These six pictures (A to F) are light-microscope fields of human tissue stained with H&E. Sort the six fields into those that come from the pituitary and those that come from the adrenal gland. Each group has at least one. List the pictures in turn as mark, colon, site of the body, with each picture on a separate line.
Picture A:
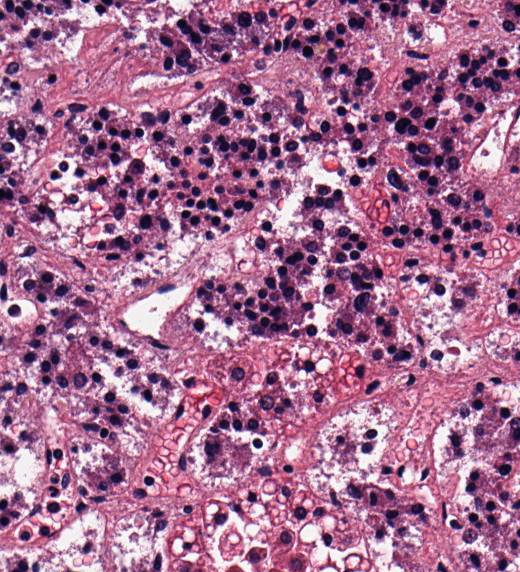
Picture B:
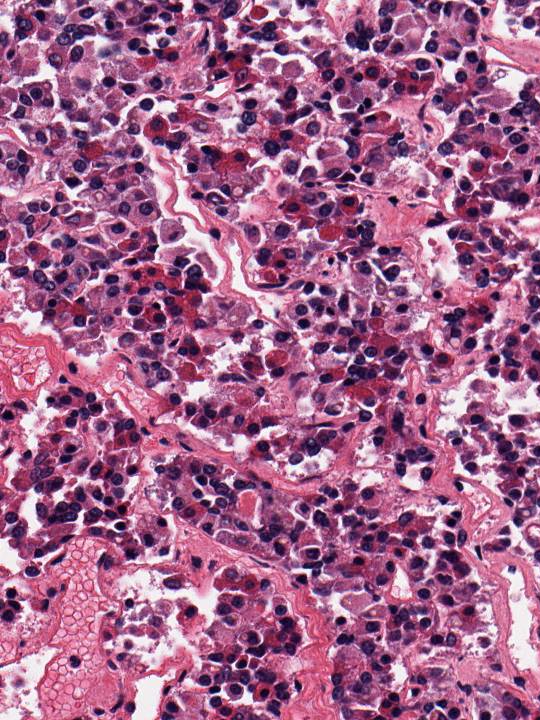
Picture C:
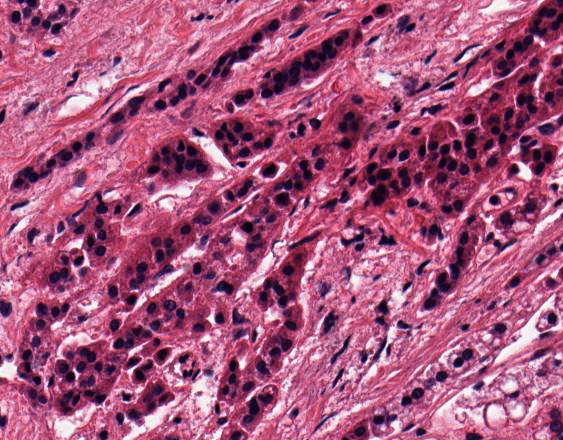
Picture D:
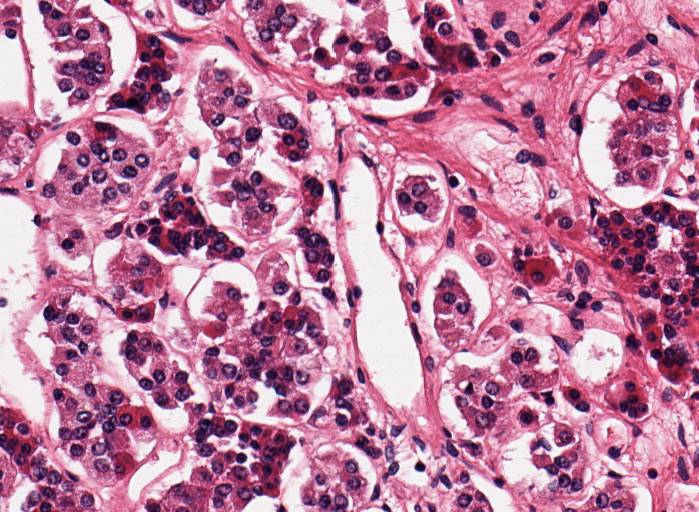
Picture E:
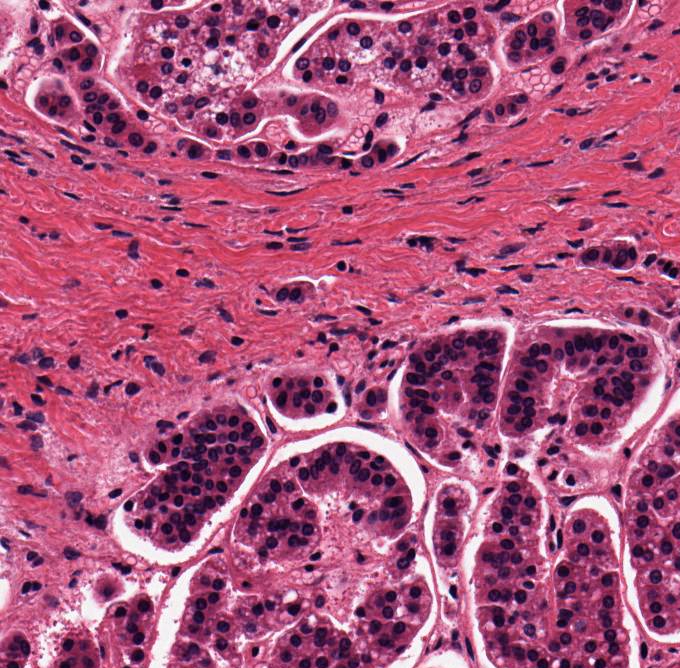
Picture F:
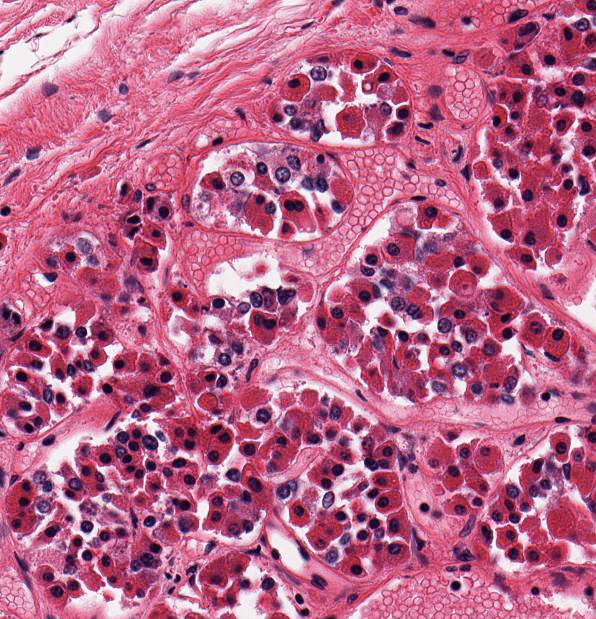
A: adrenal gland
B: pituitary
C: adrenal gland
D: pituitary
E: adrenal gland
F: pituitary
